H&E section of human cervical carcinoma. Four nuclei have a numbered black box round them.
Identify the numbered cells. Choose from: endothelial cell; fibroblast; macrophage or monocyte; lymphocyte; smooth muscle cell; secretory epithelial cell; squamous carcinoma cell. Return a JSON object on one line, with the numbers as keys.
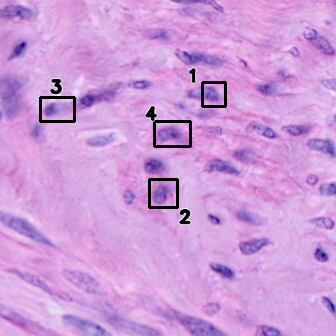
{"1": "smooth muscle cell", "2": "smooth muscle cell", "3": "fibroblast", "4": "smooth muscle cell"}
